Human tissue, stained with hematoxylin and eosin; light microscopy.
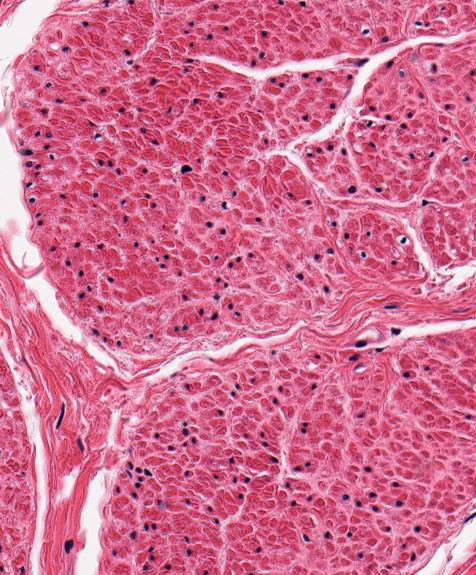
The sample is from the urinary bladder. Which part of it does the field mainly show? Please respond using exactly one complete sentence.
It is smooth muscle that this tissue section depicts.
